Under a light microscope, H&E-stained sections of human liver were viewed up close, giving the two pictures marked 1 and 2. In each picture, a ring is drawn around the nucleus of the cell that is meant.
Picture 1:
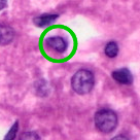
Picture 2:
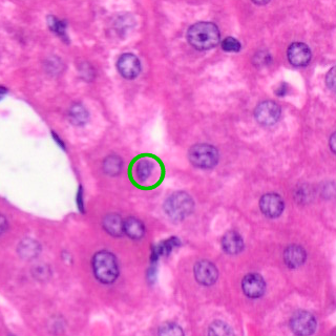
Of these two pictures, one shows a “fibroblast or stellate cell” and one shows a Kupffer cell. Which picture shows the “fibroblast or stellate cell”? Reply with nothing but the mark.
2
